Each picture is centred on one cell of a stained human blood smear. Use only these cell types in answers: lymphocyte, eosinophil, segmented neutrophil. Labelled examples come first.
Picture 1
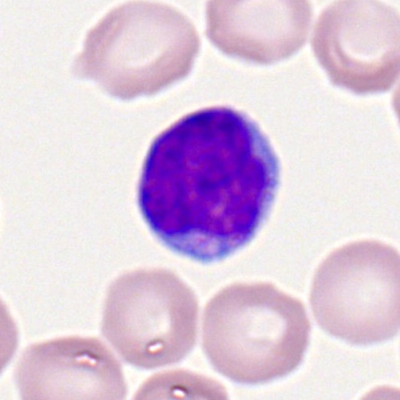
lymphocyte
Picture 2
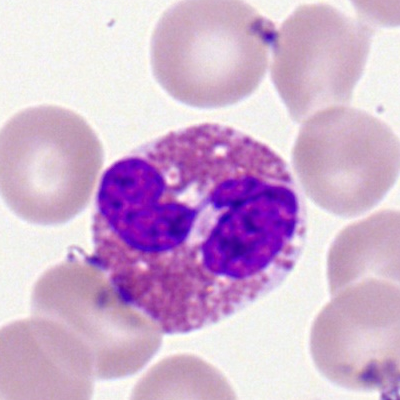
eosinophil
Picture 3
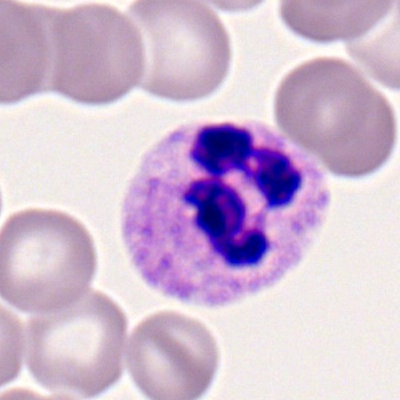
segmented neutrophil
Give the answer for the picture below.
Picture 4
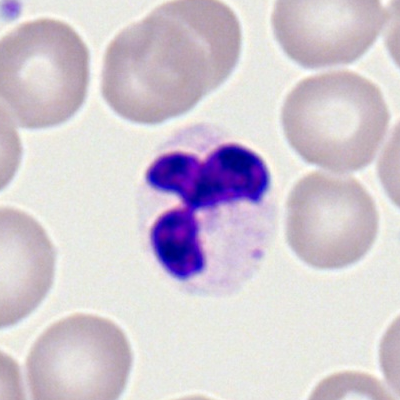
segmented neutrophil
